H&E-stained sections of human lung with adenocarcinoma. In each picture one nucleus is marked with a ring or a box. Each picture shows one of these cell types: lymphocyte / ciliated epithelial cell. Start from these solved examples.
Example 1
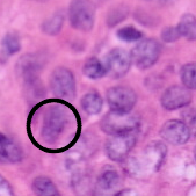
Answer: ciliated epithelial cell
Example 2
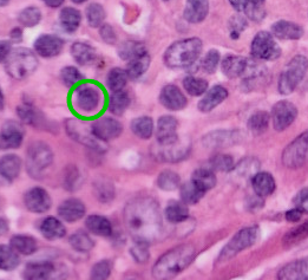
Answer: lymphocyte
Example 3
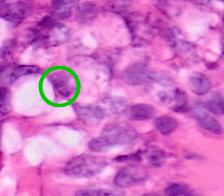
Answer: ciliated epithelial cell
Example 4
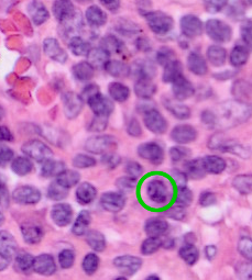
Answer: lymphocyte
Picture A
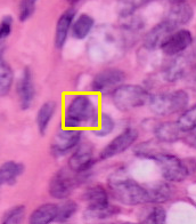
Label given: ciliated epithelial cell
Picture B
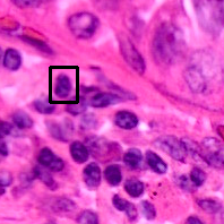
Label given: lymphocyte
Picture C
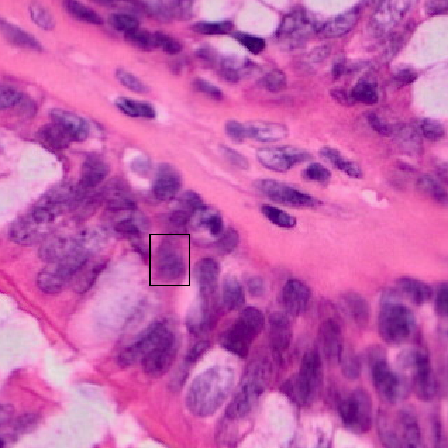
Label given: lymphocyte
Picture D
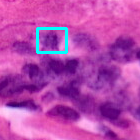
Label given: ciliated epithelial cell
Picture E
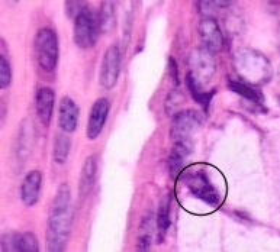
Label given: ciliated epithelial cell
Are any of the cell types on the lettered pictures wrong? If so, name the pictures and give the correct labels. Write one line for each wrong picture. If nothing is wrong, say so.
C: change lymphocyte to ciliated epithelial cell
